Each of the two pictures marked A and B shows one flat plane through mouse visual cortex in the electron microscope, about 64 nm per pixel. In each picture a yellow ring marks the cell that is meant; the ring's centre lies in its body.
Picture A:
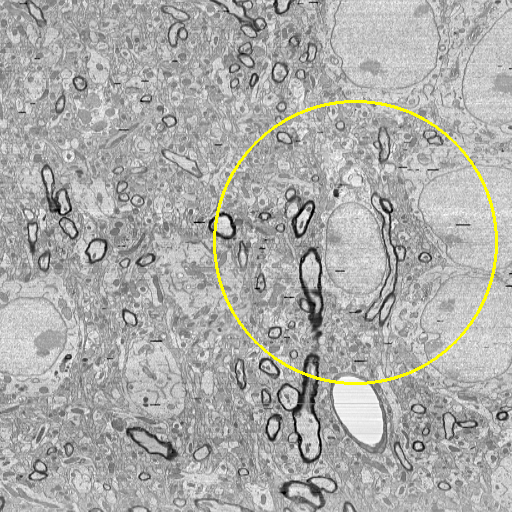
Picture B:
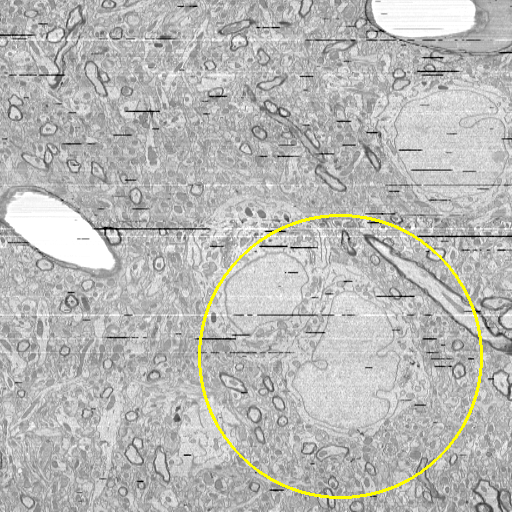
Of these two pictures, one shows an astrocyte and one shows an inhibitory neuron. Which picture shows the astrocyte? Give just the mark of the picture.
A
